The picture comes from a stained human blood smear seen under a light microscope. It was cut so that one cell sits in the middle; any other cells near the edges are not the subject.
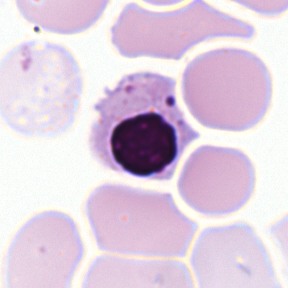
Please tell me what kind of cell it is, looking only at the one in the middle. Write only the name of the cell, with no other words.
normoblast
